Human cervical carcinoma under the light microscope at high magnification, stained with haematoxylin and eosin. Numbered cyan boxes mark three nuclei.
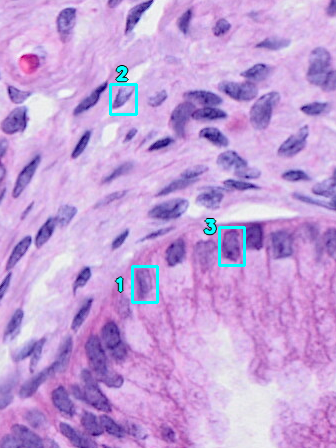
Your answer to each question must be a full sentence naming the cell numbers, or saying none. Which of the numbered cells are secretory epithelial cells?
The cells identified by the numbers 1 and 3 are secretory epithelial cells.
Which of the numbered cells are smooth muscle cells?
As regards the numbered cells, smooth muscle cells are not represented.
